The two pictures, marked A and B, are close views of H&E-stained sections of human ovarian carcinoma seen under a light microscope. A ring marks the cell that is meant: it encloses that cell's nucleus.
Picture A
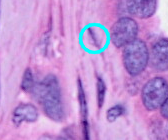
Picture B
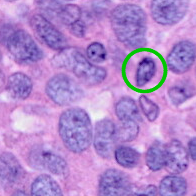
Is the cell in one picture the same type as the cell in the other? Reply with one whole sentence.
No, picture A shows a fibroblast and picture B shows a “macrophage or monocyte”.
